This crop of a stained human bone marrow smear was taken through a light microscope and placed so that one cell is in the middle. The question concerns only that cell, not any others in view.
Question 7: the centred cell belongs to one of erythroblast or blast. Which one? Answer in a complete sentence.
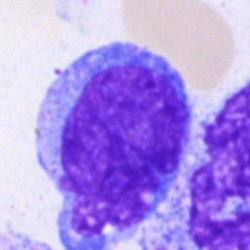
Occupying the centre of the crop is a blast.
